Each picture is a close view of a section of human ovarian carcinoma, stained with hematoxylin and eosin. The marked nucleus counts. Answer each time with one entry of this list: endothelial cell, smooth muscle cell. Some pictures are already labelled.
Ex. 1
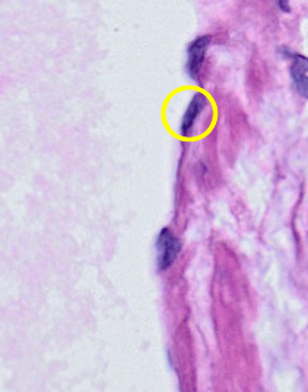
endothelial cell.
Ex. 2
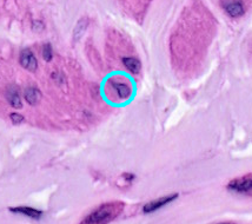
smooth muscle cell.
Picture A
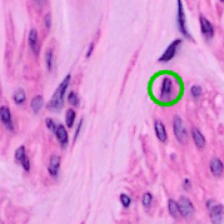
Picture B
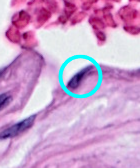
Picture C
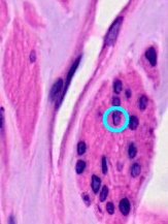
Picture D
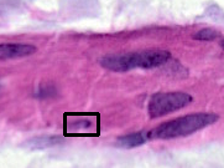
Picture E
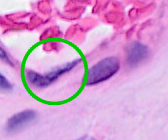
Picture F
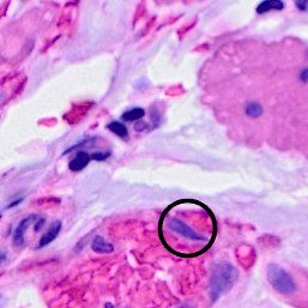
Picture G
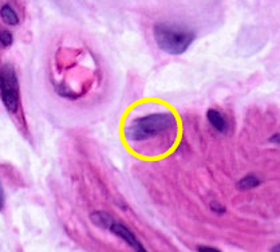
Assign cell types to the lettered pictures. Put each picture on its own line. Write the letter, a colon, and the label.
A: smooth muscle cell.
B: endothelial cell.
C: smooth muscle cell.
D: smooth muscle cell.
E: endothelial cell.
F: endothelial cell.
G: smooth muscle cell.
